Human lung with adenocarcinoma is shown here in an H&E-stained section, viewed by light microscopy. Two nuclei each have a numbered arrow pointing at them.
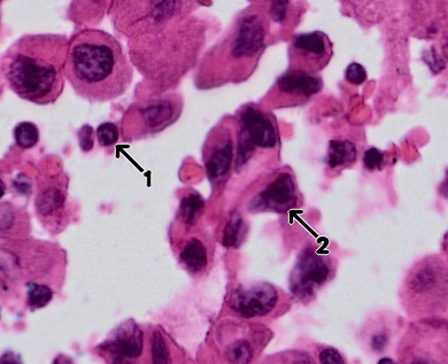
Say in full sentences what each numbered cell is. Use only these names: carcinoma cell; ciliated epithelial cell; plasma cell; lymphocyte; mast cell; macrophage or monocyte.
Cell 1 is a lymphocyte and cell 2 is a carcinoma cell.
